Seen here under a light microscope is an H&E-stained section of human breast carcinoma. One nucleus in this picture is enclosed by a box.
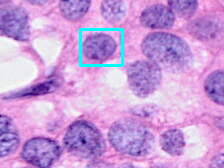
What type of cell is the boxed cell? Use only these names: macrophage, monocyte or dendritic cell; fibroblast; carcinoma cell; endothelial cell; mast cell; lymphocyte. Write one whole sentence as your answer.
In this field of tissue, the boxed cell is a carcinoma cell.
